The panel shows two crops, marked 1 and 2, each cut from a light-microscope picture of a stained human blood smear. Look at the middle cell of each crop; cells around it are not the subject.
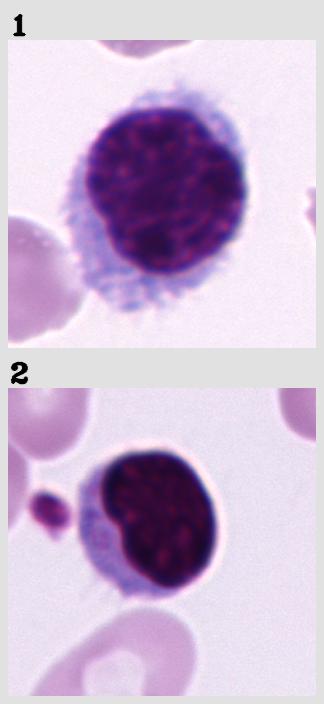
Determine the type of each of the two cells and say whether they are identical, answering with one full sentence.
No, crop 1 displays a hairy cell and crop 2 displays a typical lymphocyte.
